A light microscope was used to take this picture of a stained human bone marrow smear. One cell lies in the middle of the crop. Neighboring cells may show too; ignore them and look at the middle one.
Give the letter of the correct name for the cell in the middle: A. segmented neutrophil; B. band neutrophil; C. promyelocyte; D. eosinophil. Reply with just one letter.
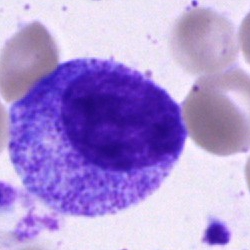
C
